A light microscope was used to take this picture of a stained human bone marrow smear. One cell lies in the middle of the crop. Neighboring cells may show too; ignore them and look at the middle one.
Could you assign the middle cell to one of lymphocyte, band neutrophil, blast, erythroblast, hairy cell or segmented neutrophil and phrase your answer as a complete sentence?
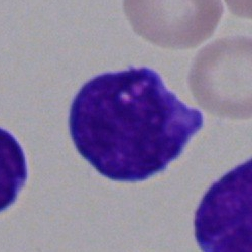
What the crop centres on is a blast.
